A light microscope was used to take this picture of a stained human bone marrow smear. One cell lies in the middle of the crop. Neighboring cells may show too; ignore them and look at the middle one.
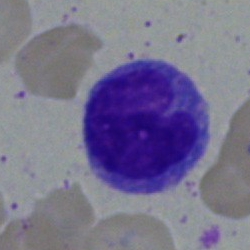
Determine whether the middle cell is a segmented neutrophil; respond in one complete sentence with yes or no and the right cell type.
No, the correct answer for the middle cell is a monocyte, not a segmented neutrophil.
